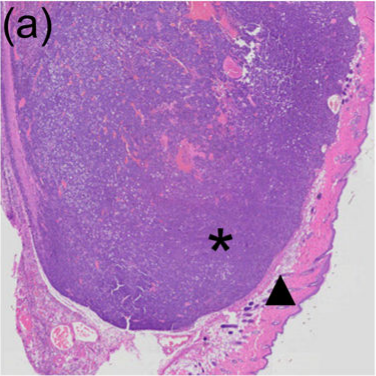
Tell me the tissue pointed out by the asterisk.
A: viable tumor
